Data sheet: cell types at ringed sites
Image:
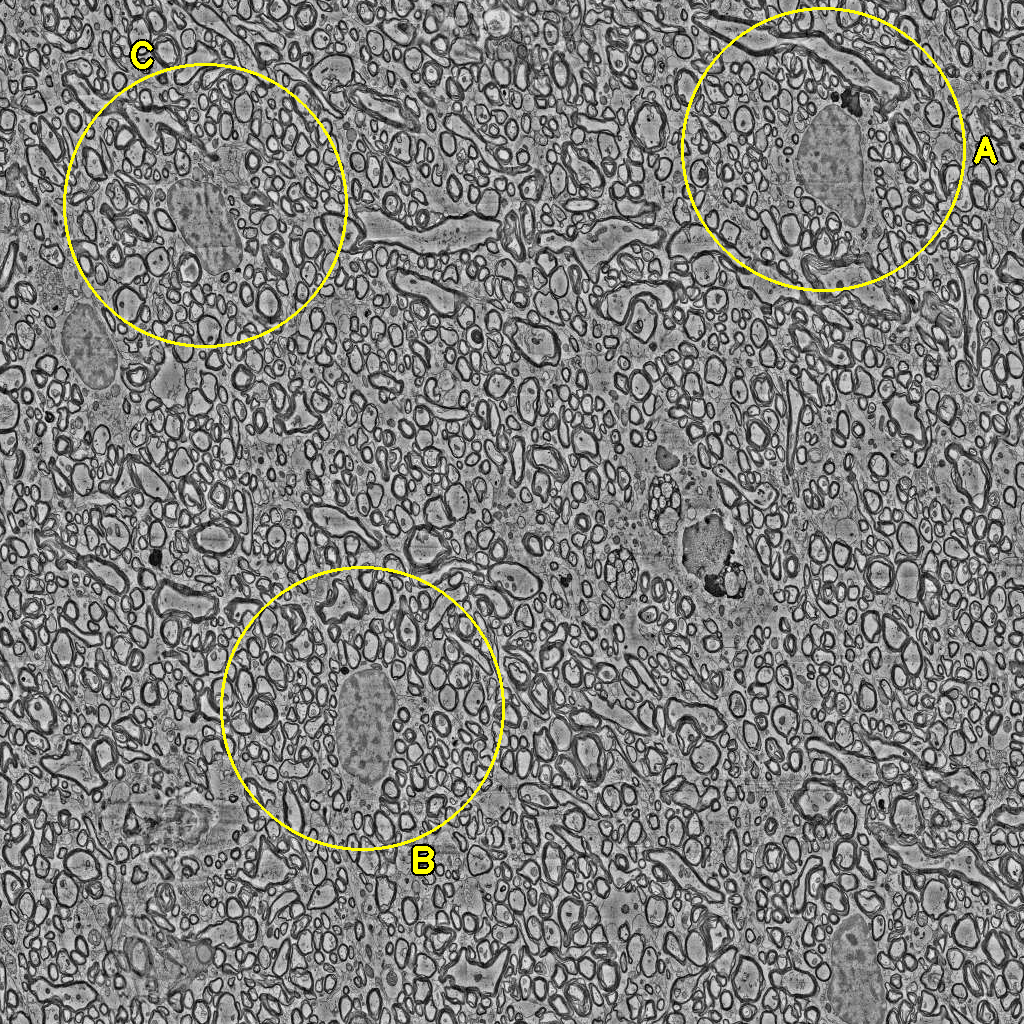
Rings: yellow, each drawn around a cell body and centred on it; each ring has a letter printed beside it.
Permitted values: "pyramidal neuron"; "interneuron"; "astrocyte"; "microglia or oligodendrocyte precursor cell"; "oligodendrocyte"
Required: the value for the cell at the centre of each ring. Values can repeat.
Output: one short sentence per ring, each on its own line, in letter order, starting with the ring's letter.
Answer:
Ring A has an oligodendrocyte at its centre.
Ring B has an oligodendrocyte at its centre.
Ring C has a microglial cell or oligodendrocyte precursor cell at its centre.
